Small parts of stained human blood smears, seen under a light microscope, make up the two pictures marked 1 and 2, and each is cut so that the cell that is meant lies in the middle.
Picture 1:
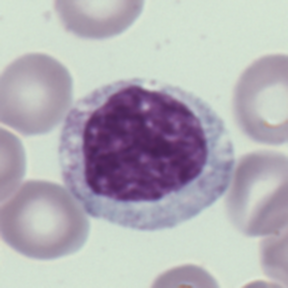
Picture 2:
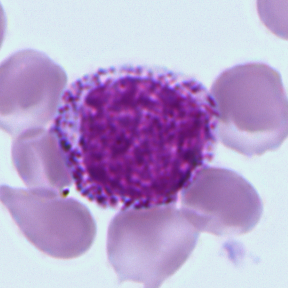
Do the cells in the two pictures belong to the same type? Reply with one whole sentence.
Yes, both cells are myelocytes.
